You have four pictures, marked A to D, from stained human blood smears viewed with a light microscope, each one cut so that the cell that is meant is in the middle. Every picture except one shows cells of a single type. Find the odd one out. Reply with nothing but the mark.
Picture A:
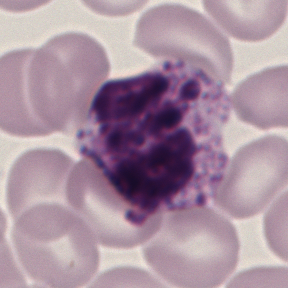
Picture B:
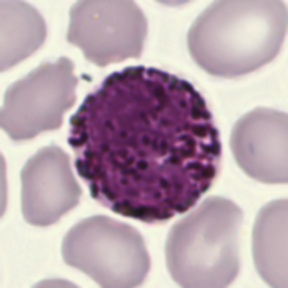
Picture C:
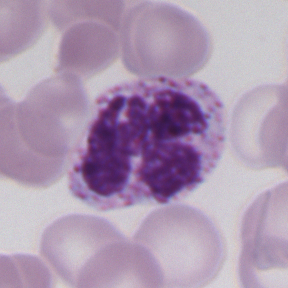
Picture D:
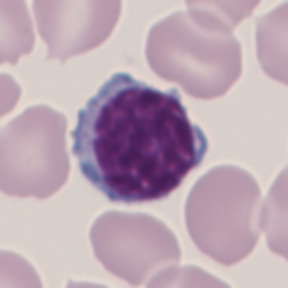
D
